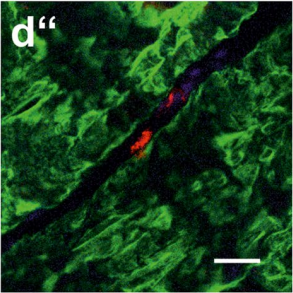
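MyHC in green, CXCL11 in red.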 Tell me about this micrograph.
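The fibres are tightly packed and show an irregular, textured green interior. A narrow dark band of connective tissue runs diagonally between fibre groups. Within this band lie a few blue nuclei and small, intensely red cells. The red is confined to these few cells in the band, and the muscle fibres themselves show no red.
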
